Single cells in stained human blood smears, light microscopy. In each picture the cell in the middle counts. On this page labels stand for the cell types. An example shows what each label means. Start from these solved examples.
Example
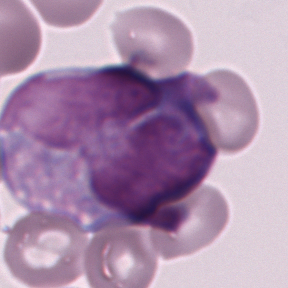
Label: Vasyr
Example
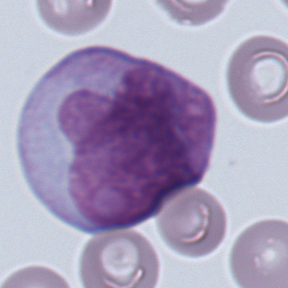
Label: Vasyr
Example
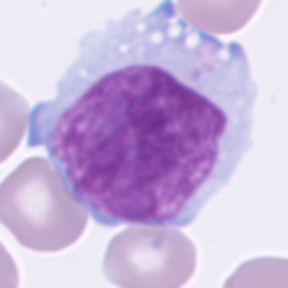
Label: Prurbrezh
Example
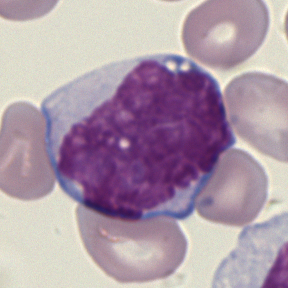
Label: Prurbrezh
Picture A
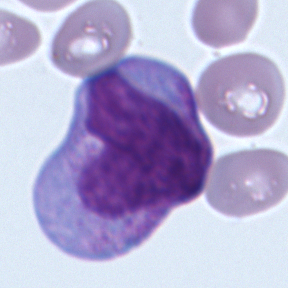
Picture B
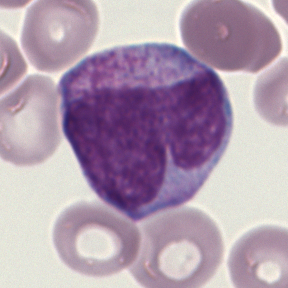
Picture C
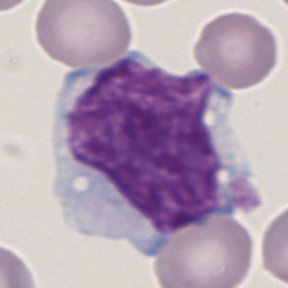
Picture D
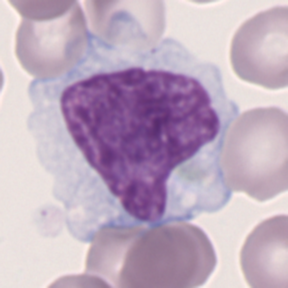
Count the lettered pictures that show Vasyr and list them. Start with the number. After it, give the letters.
Count: 2 (A, B)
